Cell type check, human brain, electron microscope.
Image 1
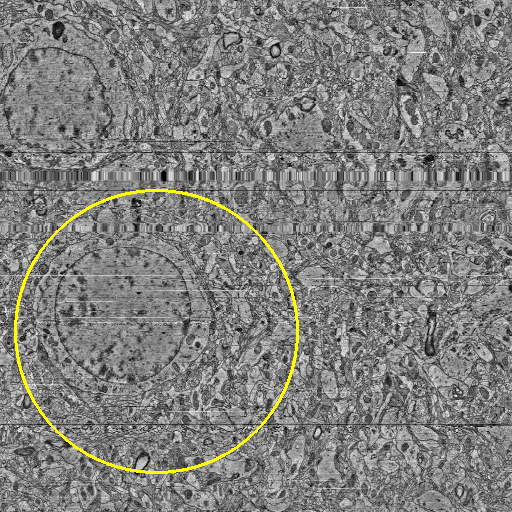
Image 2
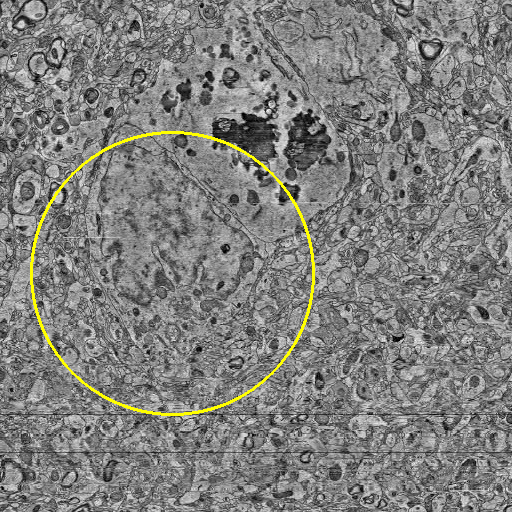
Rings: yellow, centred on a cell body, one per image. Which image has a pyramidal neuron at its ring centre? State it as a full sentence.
The ring in Image 1 is centred on it.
